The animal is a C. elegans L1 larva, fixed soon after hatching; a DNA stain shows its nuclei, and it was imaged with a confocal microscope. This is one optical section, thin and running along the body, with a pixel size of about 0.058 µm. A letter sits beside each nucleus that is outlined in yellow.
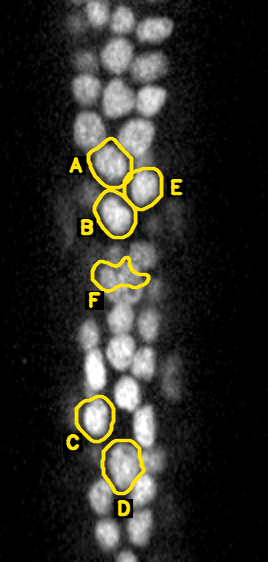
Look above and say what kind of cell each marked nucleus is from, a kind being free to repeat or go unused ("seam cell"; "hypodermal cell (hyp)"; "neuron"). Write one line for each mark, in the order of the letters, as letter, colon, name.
A: neuron
B: neuron
C: hypodermal cell (hyp)
D: seam cell
E: neuron
F: seam cell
